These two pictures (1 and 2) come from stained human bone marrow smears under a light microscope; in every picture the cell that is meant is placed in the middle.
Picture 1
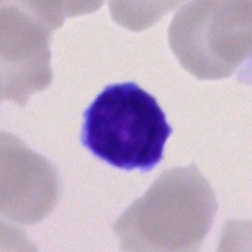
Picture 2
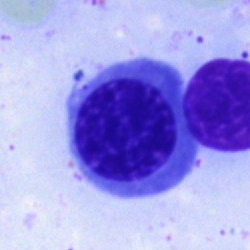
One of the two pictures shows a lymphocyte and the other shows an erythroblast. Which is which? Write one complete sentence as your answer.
The cell in picture 1 is a lymphocyte, and the one in picture 2 is an erythroblast.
